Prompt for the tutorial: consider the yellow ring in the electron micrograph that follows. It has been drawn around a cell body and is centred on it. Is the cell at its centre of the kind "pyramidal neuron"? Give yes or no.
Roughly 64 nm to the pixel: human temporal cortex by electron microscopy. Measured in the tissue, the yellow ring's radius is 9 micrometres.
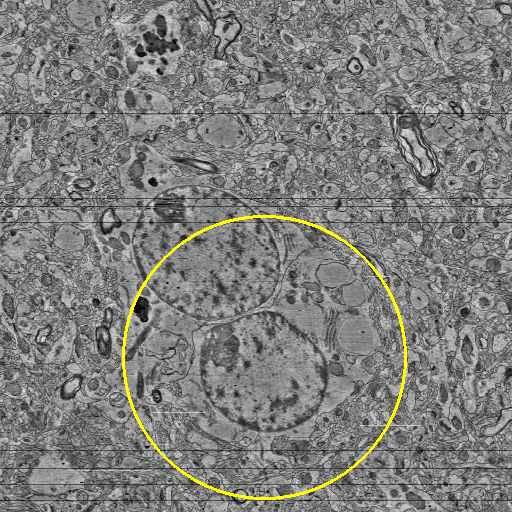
no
